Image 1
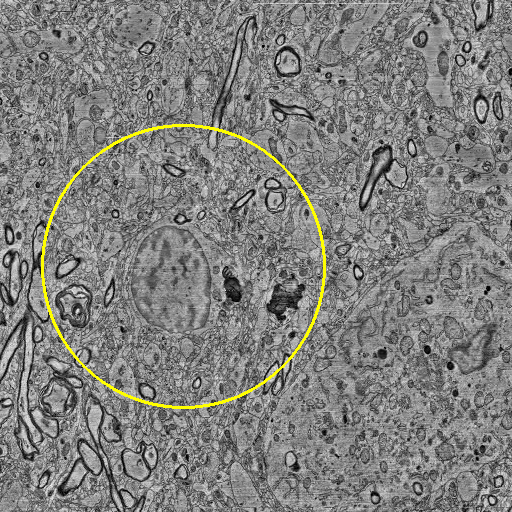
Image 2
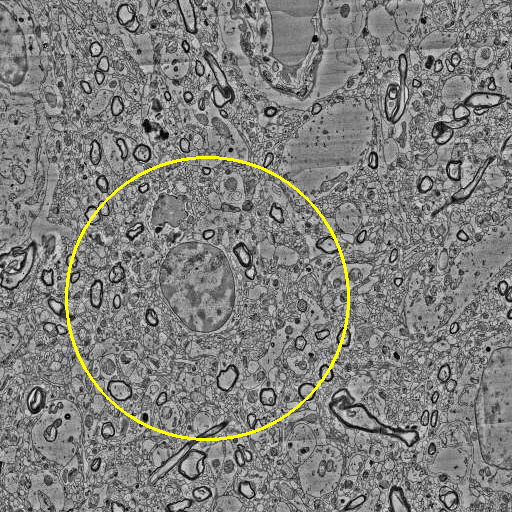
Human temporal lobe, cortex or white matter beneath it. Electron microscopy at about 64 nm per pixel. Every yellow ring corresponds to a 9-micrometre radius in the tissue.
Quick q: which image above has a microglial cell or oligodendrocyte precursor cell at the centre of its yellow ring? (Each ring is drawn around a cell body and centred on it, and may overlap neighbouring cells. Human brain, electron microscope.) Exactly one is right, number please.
2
